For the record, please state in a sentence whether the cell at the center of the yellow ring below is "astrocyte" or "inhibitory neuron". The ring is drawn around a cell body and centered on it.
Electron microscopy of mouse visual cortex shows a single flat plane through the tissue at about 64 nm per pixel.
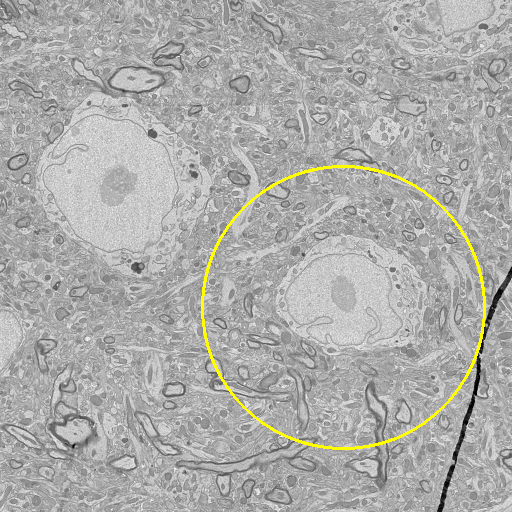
The cell at the ring's center is an inhibitory neuron.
